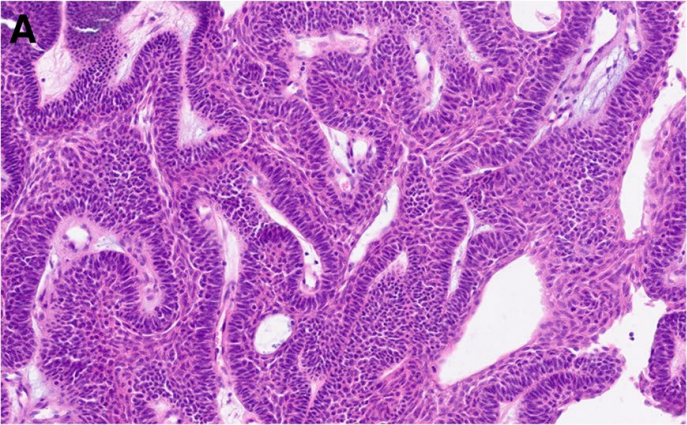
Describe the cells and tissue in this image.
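Ribbons and lobules of crowded tumor cells with dark, oval nuclei and scant cytoplasm wind through a thin, pale, loose stroma that carries small vessels. Along the edges of each ribbon the nuclei are elongated and line up side by side, perpendicular to the stromal border, forming a palisade. Toward the centre of the ribbons the cells are more haphazardly arranged. This is a basaloid carcinoma with nuclear palisading at the periphery of its tumor lobules.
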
